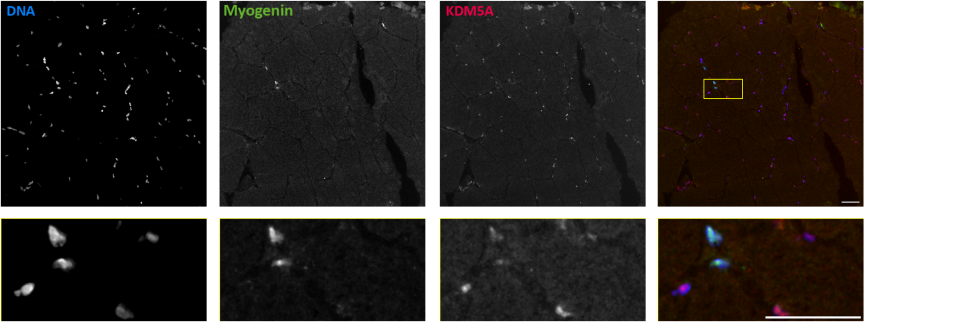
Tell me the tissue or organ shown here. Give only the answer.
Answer: Muscle tissue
